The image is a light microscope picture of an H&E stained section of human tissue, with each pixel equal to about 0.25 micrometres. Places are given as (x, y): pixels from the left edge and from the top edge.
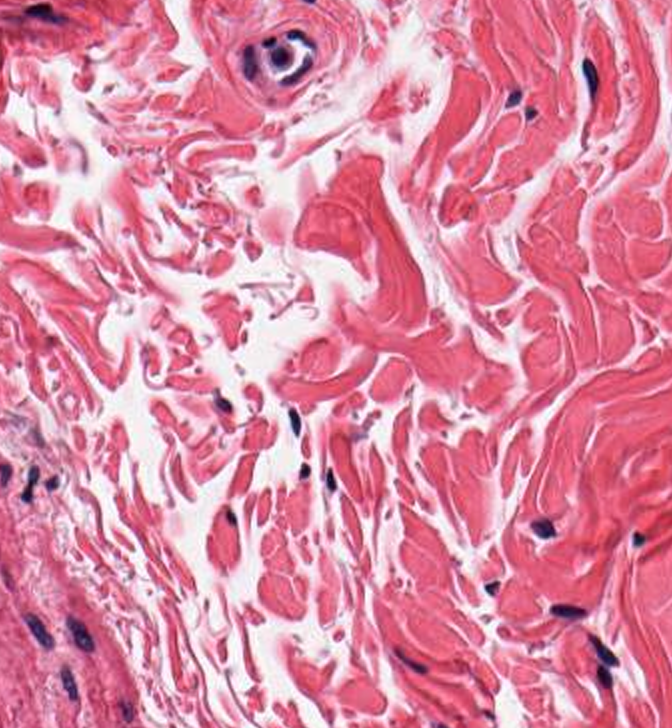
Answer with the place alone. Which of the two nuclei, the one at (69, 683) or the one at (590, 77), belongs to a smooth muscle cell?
(69, 683)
